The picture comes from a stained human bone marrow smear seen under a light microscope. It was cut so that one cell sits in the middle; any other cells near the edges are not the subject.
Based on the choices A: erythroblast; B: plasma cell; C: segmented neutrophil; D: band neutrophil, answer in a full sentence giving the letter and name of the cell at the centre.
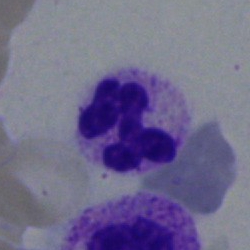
The correct response is option C, naming the cell in the middle as a segmented neutrophil.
